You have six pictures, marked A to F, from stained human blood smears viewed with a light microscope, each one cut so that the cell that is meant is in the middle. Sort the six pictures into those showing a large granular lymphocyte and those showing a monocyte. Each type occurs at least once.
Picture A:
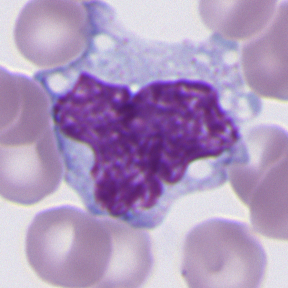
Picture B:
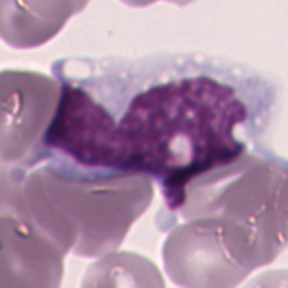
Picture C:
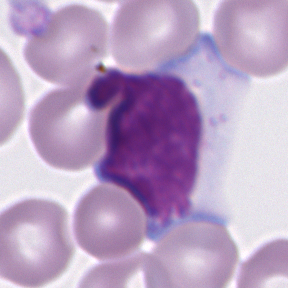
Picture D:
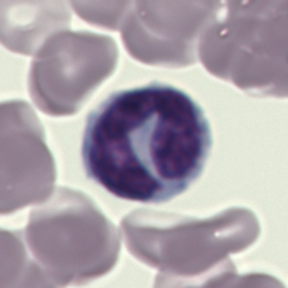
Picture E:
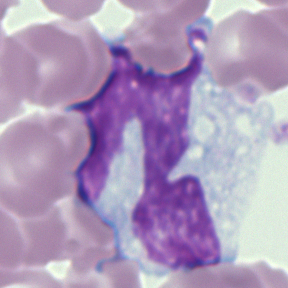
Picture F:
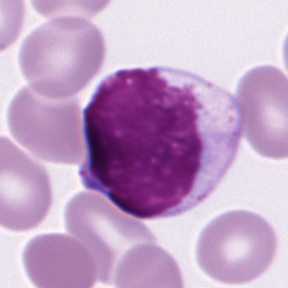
A: monocyte
B: monocyte
C: large granular lymphocyte
D: monocyte
E: monocyte
F: large granular lymphocyte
